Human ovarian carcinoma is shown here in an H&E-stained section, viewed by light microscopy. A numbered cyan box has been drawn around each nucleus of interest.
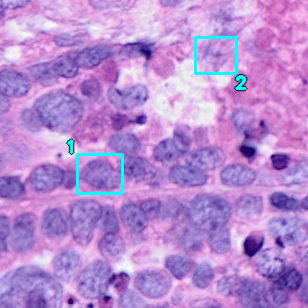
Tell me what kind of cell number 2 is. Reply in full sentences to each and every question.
The cell that bears the number 2 is a fibroblast.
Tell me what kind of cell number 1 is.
The cell that is numbered 1 is a carcinoma cell.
